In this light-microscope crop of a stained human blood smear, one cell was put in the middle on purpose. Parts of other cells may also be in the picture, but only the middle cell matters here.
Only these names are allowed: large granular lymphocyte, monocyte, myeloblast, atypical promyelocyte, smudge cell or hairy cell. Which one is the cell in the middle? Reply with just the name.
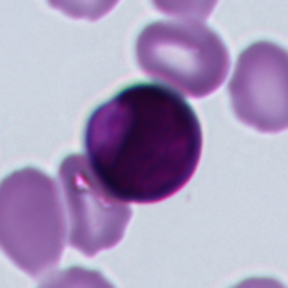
myeloblast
